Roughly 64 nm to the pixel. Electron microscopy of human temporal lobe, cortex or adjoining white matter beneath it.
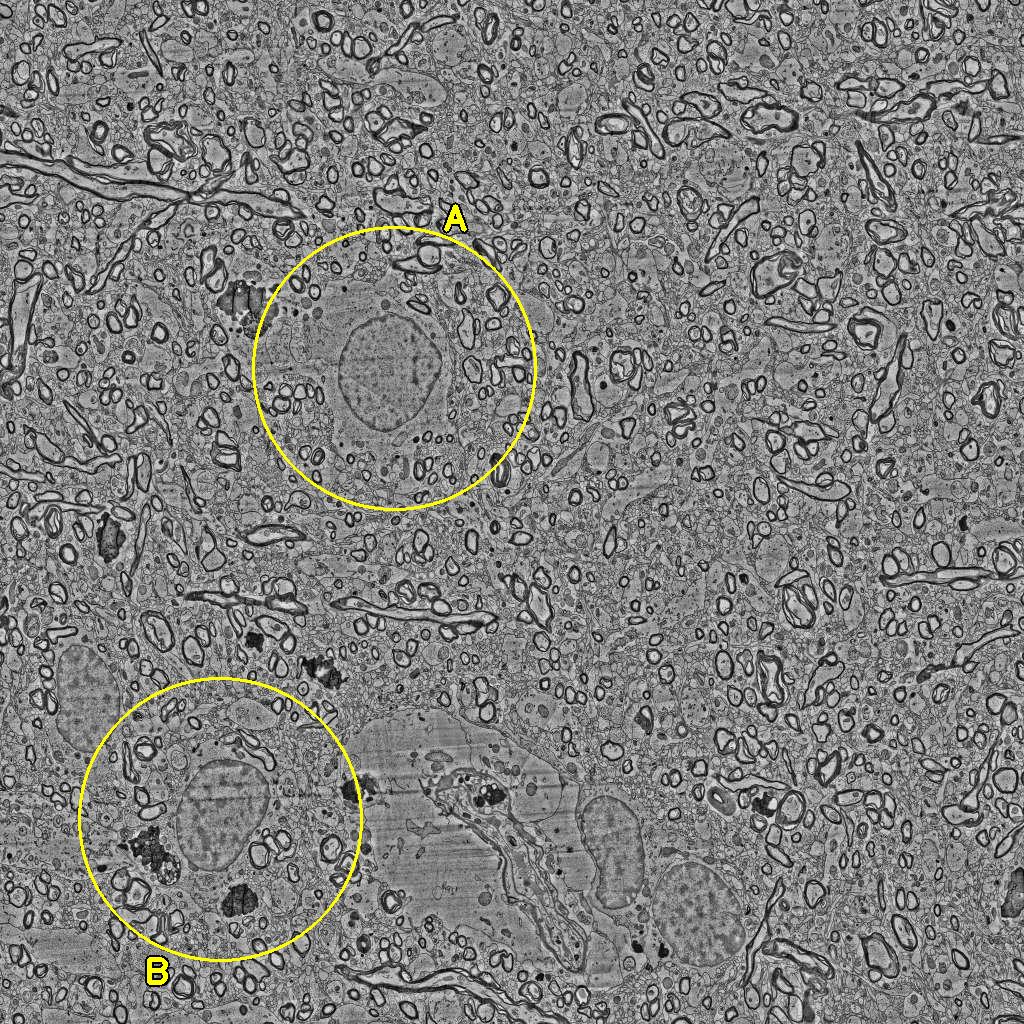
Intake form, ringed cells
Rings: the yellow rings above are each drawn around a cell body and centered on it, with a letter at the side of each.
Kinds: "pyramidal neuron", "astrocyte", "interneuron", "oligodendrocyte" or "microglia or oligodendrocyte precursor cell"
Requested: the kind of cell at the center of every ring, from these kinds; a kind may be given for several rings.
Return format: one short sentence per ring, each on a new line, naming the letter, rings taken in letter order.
In the center of ring A there is an astrocyte.
In the center of ring B there is an oligodendrocyte.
